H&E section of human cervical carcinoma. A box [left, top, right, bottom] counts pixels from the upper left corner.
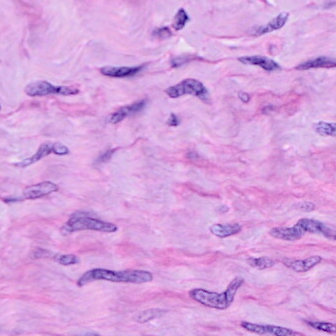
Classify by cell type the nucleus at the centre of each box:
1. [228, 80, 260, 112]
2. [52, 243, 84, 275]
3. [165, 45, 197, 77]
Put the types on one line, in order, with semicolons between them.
smooth muscle cell; smooth muscle cell; fibroblast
